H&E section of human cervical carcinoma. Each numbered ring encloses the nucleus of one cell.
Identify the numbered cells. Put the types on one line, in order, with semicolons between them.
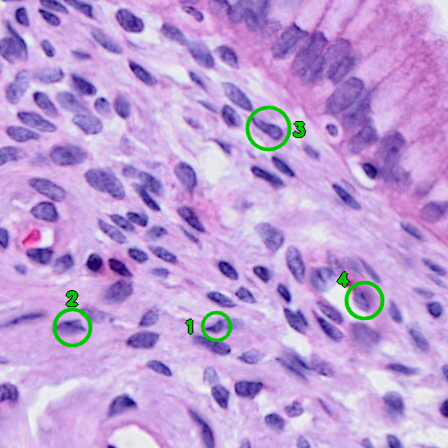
fibroblast; fibroblast; fibroblast; endothelial cell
